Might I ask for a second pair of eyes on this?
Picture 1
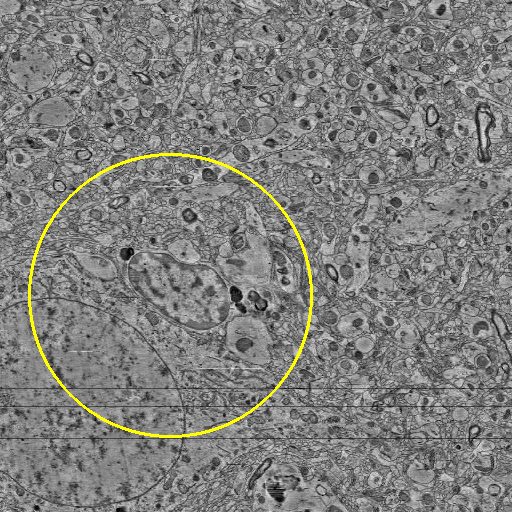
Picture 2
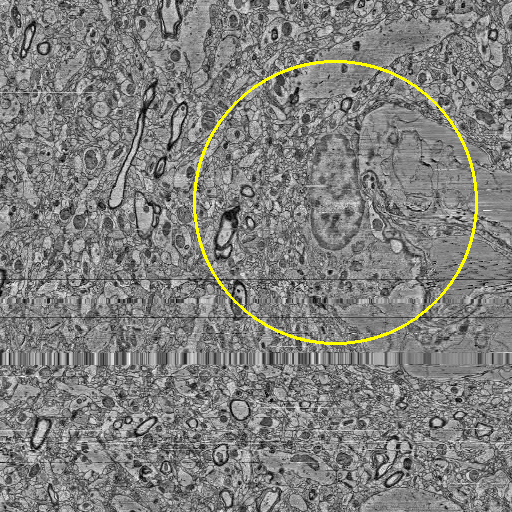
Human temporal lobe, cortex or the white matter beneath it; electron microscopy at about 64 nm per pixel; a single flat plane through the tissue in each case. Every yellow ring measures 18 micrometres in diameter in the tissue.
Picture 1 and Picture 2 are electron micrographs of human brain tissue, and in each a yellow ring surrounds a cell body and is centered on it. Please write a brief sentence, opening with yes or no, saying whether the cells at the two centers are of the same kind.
No, the cells are of two kinds.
